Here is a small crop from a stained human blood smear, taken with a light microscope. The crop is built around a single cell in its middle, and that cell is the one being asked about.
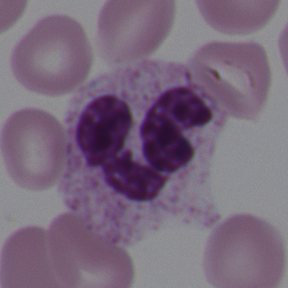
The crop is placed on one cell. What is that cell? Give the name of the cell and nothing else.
segmented neutrophil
